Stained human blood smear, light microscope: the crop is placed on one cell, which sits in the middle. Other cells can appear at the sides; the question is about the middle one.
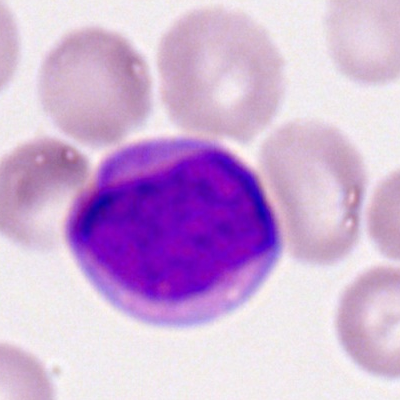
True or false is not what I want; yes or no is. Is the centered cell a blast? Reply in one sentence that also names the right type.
Yes, in the centre of this field sits a blast.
